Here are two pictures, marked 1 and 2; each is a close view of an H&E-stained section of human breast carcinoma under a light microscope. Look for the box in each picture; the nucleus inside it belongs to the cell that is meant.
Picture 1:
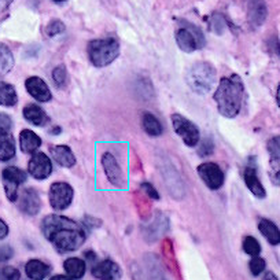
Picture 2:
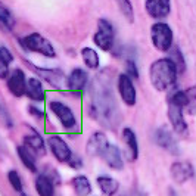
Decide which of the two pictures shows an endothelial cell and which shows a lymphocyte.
1: endothelial cell
2: lymphocyte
